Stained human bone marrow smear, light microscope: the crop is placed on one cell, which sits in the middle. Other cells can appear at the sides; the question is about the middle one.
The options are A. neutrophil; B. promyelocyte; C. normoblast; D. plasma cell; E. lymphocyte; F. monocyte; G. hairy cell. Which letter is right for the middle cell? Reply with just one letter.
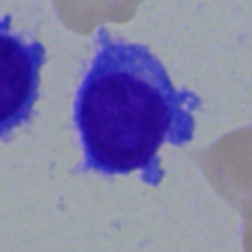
D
